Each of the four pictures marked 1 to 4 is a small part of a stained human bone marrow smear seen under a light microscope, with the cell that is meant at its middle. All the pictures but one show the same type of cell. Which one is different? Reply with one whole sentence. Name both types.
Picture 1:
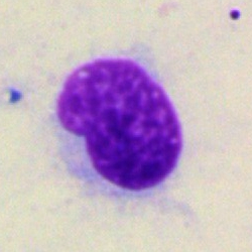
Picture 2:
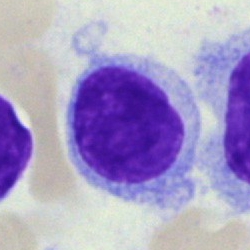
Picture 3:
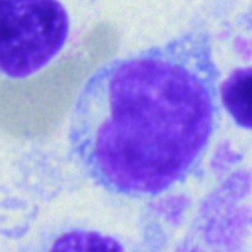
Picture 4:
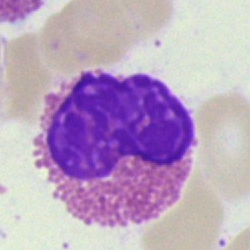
Unlike the rest, which show hairy cells, picture 4 shows an eosinophil.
